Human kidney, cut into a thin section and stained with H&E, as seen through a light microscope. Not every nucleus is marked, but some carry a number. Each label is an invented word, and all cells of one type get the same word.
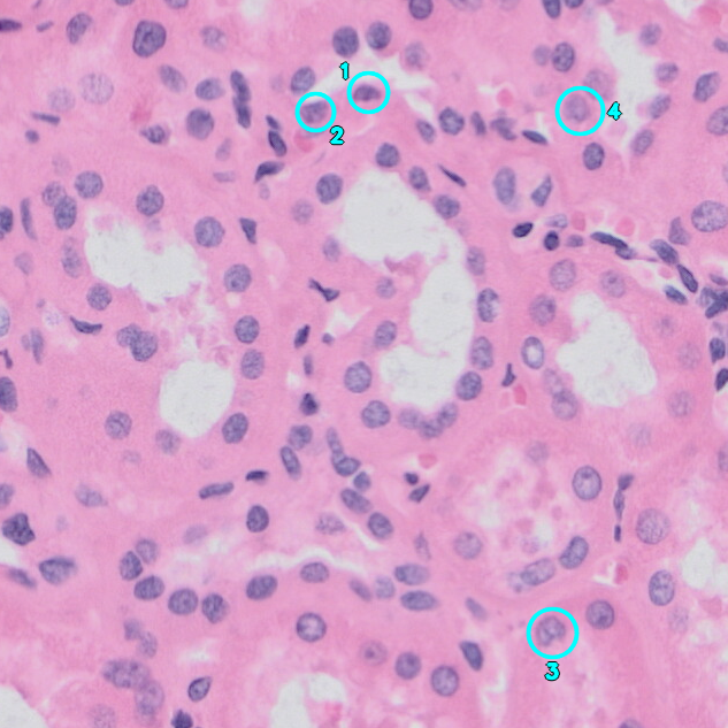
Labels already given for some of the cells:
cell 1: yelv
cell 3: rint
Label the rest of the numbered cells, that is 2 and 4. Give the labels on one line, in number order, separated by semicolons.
yelv; yelv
